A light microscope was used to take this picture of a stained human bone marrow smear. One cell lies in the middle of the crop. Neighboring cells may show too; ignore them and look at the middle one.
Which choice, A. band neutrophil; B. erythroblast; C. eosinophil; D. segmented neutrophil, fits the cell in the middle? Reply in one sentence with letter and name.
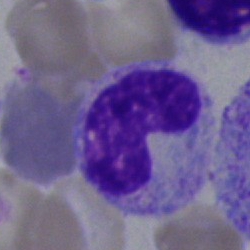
In the middle of the crop is a band neutrophil; option A is therefore correct.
